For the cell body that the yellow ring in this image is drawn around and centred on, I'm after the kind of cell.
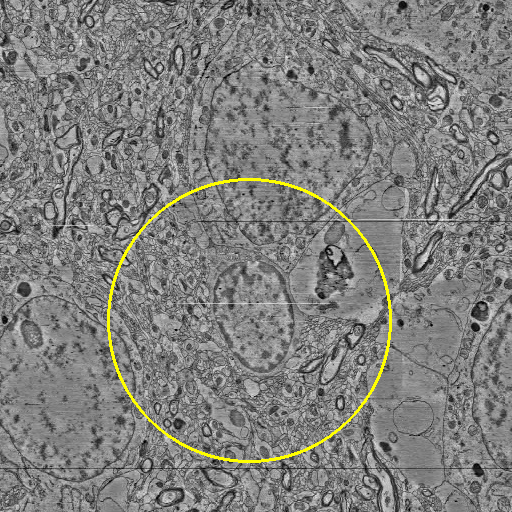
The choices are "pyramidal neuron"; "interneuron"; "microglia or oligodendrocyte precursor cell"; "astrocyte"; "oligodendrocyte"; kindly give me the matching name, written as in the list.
oligodendrocyte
